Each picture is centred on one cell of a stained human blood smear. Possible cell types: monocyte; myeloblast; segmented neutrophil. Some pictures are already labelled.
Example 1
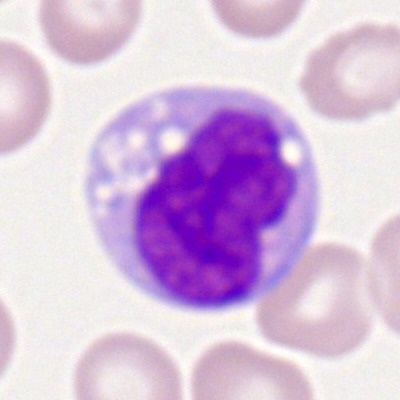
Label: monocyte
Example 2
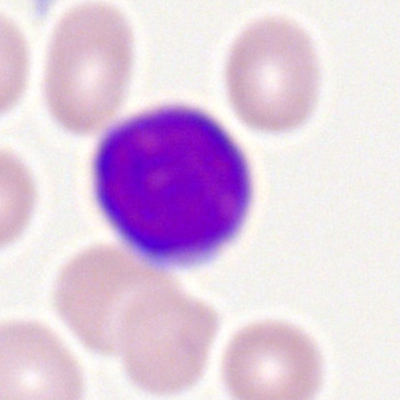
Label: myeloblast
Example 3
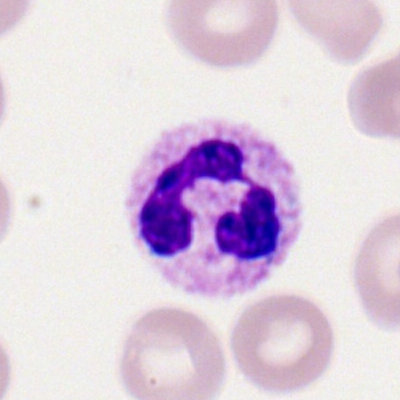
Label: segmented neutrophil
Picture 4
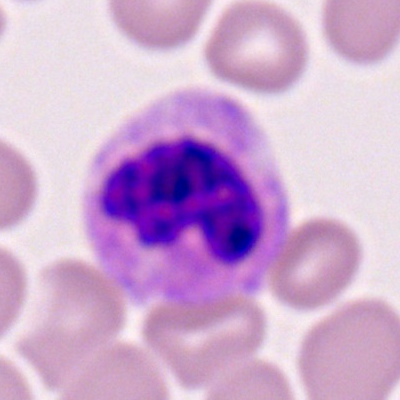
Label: segmented neutrophil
